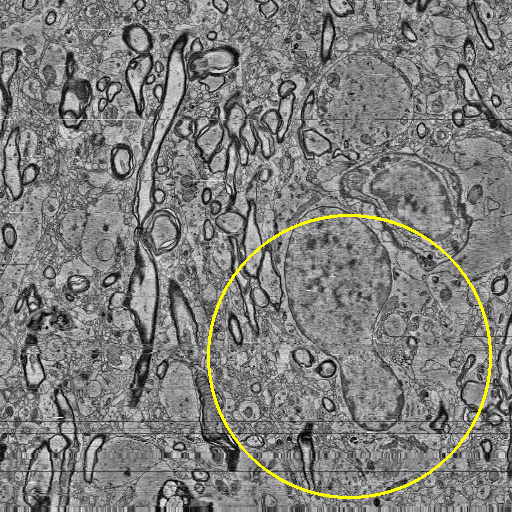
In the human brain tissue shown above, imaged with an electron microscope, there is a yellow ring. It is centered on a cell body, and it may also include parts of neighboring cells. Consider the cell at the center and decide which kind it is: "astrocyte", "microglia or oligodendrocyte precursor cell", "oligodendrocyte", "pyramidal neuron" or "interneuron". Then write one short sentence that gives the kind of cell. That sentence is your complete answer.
This centered cell body is that of a microglial cell or oligodendrocyte precursor cell.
